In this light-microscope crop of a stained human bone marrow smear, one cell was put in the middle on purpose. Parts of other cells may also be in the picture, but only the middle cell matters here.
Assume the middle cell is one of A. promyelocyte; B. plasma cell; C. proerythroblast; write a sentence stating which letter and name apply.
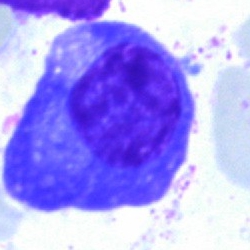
That the central cell is a plasma cell makes option B correct.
